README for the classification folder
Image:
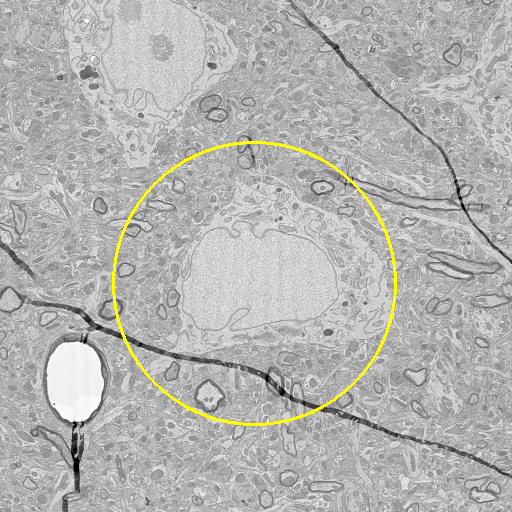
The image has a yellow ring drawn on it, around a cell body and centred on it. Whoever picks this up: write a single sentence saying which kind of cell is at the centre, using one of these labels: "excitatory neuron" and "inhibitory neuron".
This cell body is that of an excitatory neuron.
